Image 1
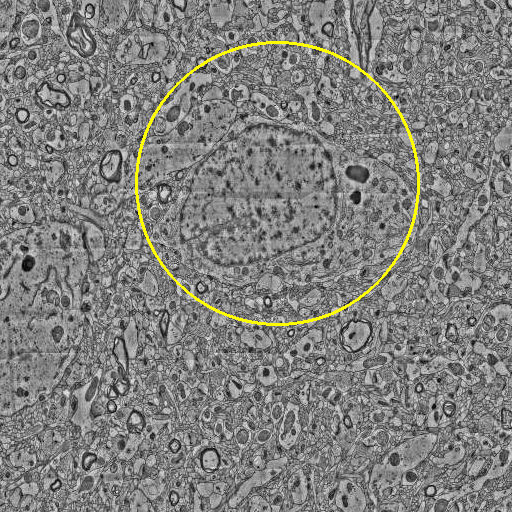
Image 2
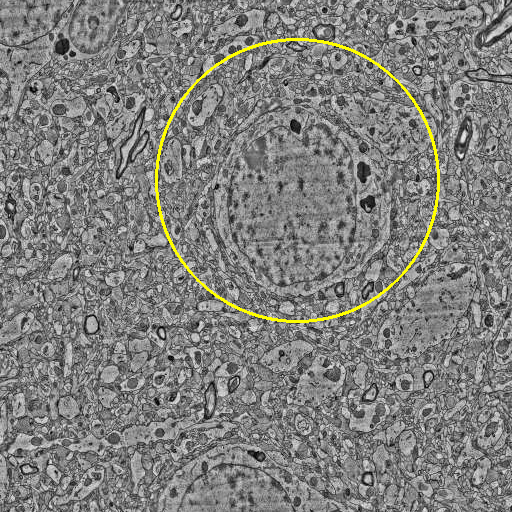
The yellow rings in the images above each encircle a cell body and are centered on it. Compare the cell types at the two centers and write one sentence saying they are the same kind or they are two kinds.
Taken together, the two cells at the ring centers are the same kind.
